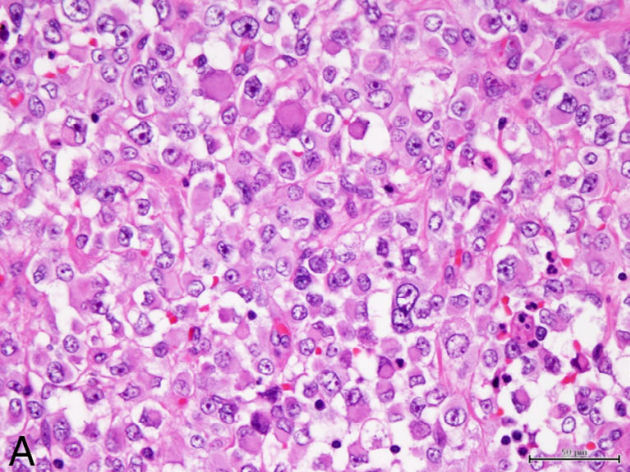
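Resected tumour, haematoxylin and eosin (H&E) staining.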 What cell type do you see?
Large rhabdoid cells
